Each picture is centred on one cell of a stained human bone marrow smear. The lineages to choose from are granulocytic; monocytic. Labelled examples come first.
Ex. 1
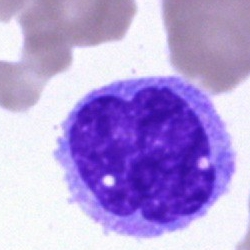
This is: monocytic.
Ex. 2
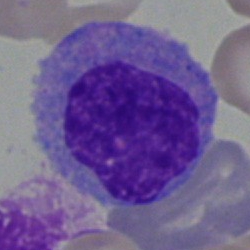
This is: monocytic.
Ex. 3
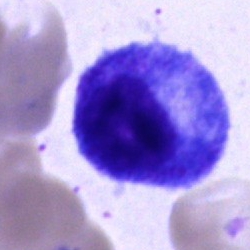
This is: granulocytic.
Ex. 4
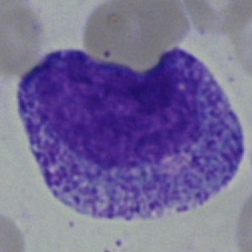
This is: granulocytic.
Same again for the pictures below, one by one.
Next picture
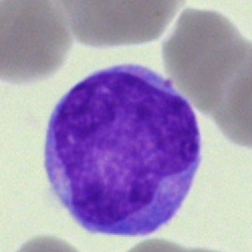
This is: monocytic.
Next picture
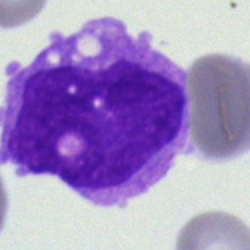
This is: monocytic.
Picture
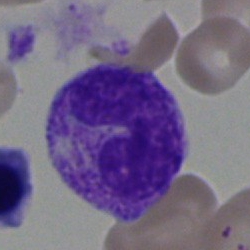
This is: granulocytic.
